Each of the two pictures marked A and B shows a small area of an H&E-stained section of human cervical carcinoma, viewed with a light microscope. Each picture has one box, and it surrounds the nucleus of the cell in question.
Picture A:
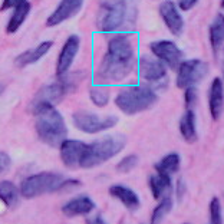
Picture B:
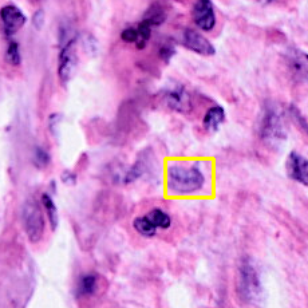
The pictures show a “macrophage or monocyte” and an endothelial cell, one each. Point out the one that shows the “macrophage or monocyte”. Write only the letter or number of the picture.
B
